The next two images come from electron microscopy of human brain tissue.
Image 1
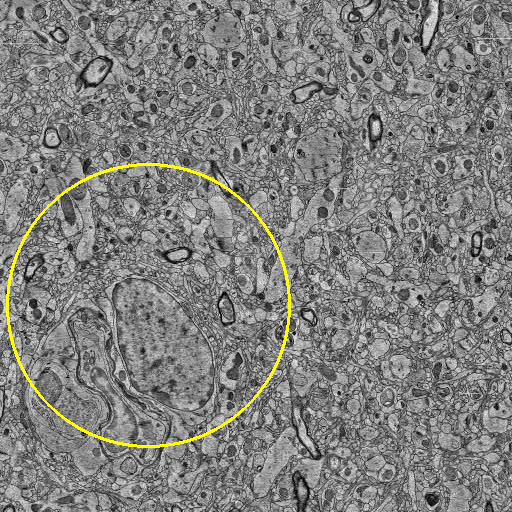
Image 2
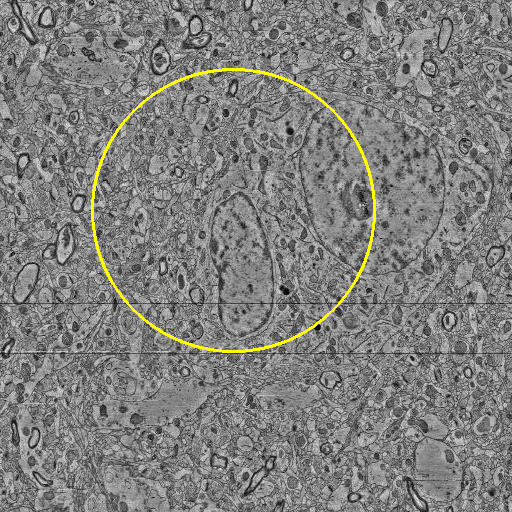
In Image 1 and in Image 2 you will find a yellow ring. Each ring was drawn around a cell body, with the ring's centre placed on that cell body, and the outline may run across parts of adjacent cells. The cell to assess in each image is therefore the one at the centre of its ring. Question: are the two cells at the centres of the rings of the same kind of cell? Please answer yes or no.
yes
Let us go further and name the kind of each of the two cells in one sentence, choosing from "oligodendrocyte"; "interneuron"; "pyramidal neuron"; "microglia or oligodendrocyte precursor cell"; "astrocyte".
The ring centre holds a microglial cell or oligodendrocyte precursor cell in each of the two pictures.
